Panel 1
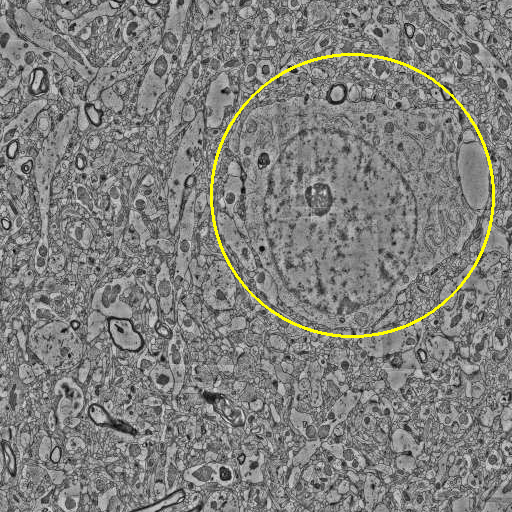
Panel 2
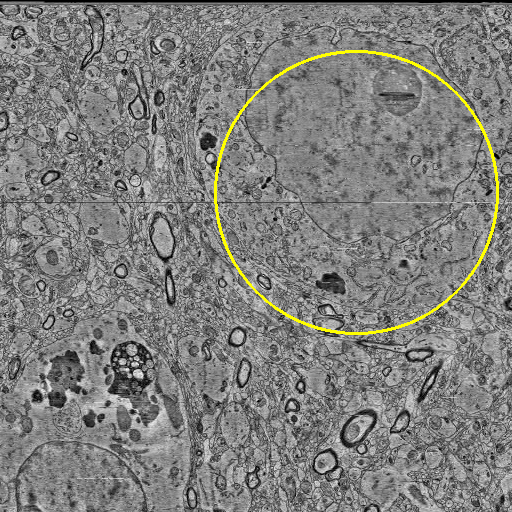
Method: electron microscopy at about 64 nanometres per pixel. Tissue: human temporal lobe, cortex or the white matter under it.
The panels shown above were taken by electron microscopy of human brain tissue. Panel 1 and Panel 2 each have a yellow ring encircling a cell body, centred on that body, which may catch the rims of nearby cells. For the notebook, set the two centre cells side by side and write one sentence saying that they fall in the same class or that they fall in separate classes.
The centred cells of Panel 1 and Panel 2 fall in separate classes.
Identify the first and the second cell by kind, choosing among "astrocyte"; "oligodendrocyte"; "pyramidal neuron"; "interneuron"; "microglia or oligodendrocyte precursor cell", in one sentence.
The one in the first picture is an interneuron, while the one in the second is a pyramidal neuron.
